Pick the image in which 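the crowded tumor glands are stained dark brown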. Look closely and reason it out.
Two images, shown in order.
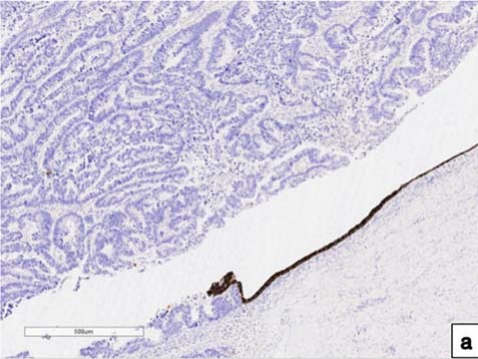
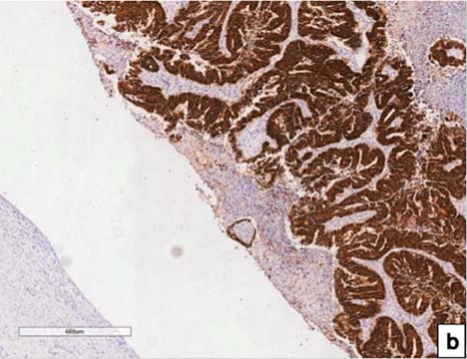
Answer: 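Second image: the branching glandular tumor epithelium is dark brown throughout. First image: the crowded glandular tumor at upper left is blue only, with no brown.
Hence: the second image.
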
